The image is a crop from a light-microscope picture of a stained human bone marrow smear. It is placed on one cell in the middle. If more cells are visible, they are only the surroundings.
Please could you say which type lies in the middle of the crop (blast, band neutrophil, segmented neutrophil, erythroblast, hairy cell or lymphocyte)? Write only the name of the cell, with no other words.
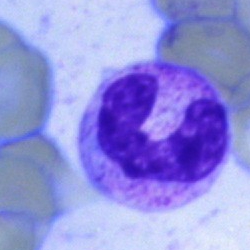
band neutrophil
